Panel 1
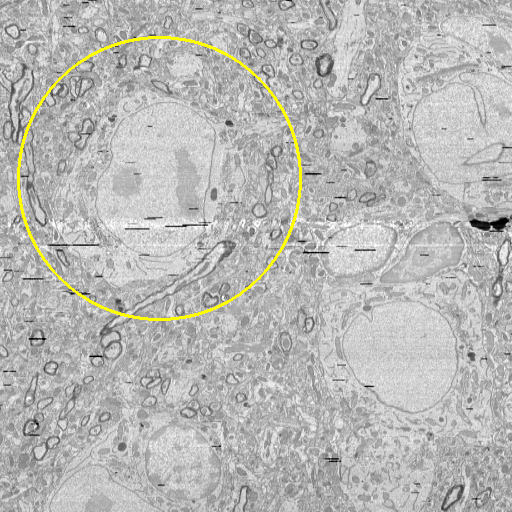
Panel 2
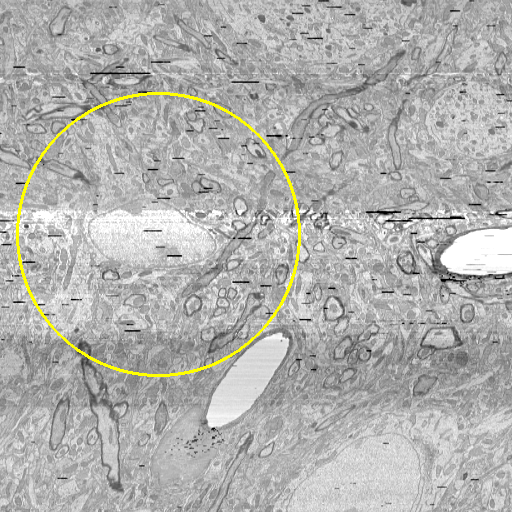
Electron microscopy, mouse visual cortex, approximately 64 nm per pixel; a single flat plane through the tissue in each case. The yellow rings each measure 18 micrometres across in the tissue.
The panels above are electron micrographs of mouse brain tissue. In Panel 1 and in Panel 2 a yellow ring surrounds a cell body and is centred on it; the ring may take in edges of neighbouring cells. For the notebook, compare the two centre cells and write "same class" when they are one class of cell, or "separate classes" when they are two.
separate classes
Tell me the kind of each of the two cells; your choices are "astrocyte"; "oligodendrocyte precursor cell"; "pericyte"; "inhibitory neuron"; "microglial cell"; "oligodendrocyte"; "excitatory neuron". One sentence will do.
The ringed cell is an excitatory neuron in the first picture and an astrocyte in the second picture.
